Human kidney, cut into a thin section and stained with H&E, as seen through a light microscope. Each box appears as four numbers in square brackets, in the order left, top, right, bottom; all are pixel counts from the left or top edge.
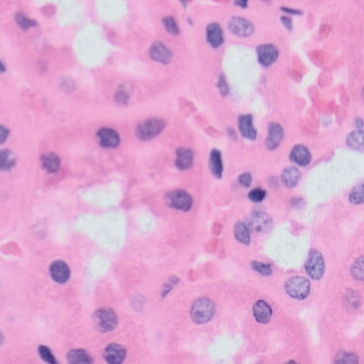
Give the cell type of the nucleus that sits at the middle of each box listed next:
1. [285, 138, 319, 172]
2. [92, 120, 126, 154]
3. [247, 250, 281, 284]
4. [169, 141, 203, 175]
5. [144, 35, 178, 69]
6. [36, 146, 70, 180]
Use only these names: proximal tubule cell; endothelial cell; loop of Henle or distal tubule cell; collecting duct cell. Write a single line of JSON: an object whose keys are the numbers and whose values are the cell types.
{"1": "collecting duct cell", "2": "proximal tubule cell", "3": "collecting duct cell", "4": "proximal tubule cell", "5": "proximal tubule cell", "6": "proximal tubule cell"}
